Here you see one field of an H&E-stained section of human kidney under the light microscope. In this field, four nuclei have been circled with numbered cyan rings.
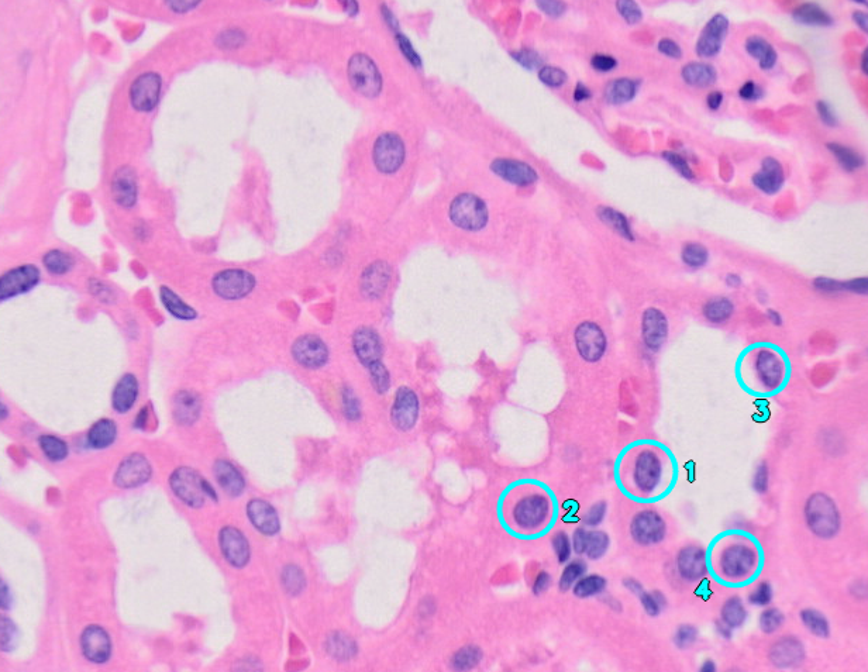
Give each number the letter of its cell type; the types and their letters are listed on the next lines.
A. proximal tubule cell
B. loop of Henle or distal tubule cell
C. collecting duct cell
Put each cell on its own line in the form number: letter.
1: B
2: A
3: B
4: B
